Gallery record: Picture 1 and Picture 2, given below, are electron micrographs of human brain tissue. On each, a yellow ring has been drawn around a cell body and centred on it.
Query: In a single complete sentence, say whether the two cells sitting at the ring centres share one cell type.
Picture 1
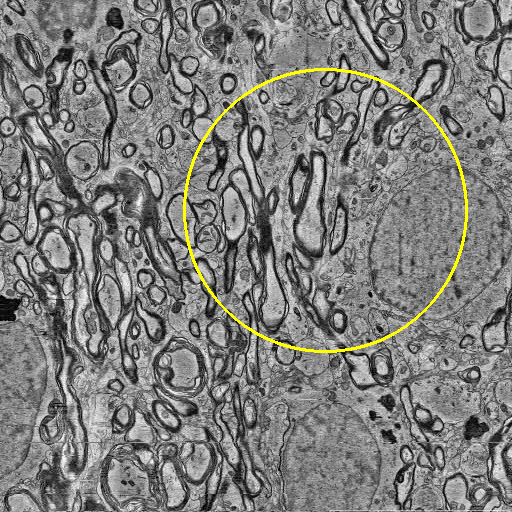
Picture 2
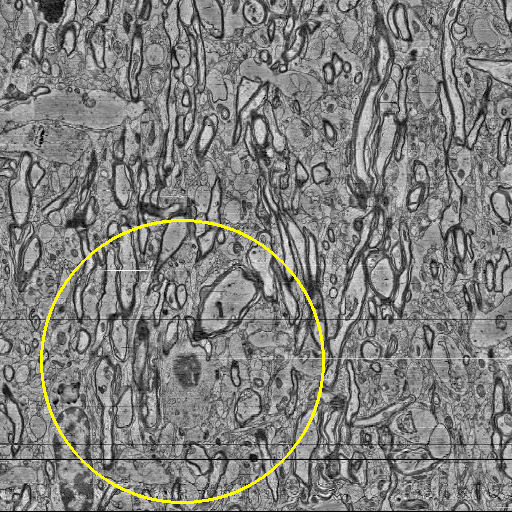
No, in the two pictures the cells at the rings' centres are of two separate types.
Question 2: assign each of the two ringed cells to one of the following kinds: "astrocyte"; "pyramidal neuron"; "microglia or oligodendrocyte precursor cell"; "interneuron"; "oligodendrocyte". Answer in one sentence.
The two cells are a microglial cell or oligodendrocyte precursor cell in the first picture and an oligodendrocyte in the second.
